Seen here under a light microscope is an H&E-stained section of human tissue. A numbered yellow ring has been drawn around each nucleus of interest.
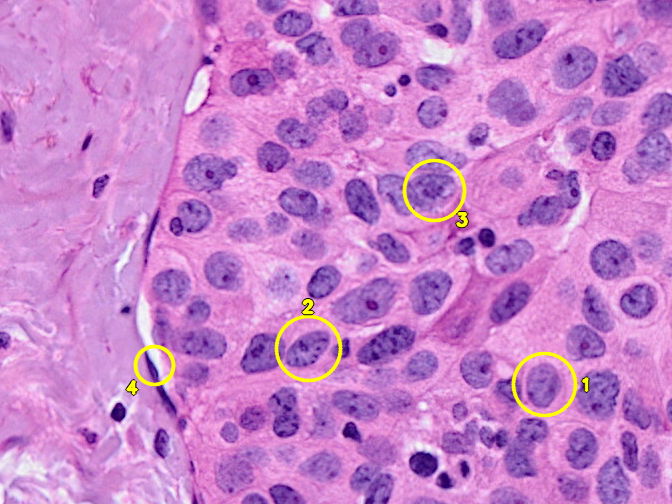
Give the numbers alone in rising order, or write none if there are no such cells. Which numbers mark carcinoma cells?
1, 2, 3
